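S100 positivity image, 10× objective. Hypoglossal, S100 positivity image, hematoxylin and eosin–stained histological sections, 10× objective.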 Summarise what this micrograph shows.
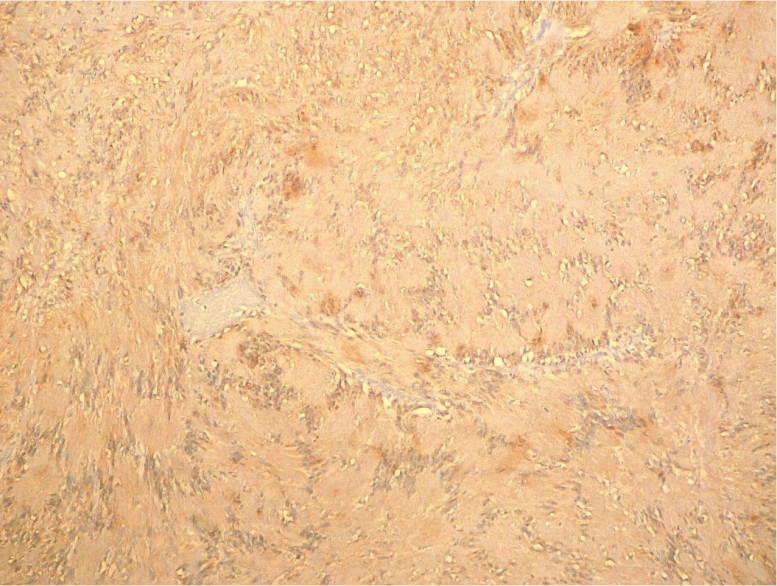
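This is a schwannoma made of spindle-cell tissue whose cells and fibrillary matrix are stained light brown throughout. Elongated nuclei are arranged in streaming bundles and clusters. A few patches are stained a deeper brown, while a thin vessel wall stands out pale blue with little brown.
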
